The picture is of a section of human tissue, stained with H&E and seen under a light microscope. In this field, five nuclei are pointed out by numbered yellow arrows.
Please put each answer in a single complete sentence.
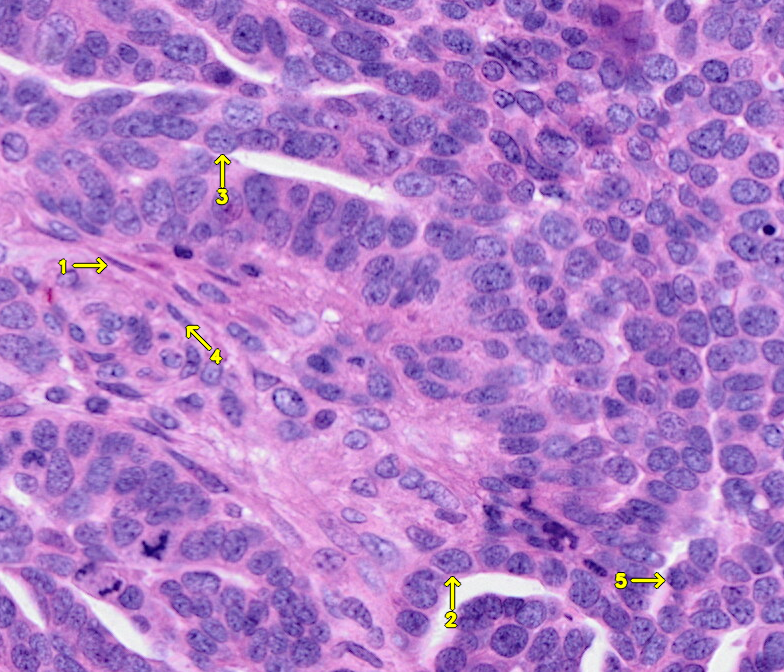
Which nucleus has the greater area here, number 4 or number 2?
The larger nucleus is 2, at roughly 2.5 times the area of 4.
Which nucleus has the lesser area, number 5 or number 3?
With nucleus 3 about 2 times its size, nucleus 5 is the smaller of the two.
